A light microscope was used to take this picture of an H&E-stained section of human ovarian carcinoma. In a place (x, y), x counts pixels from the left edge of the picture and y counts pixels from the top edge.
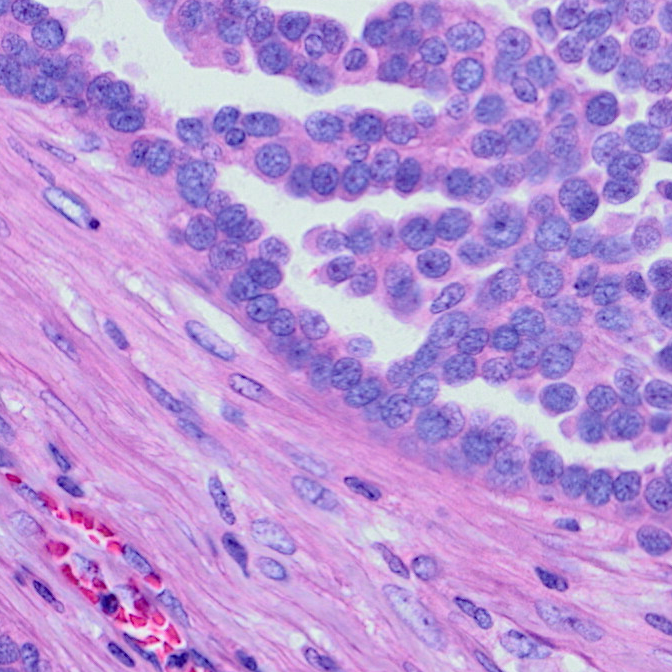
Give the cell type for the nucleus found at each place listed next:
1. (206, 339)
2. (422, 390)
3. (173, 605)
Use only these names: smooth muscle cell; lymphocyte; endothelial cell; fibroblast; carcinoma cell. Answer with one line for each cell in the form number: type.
1: fibroblast
2: carcinoma cell
3: endothelial cell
